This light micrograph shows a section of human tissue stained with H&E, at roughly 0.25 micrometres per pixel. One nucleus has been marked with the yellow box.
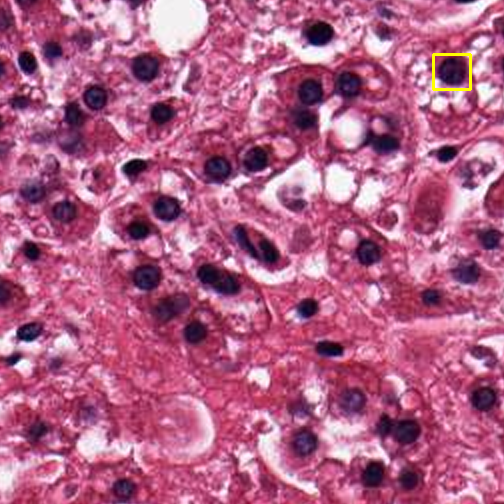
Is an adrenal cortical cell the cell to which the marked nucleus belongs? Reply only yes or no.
yes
